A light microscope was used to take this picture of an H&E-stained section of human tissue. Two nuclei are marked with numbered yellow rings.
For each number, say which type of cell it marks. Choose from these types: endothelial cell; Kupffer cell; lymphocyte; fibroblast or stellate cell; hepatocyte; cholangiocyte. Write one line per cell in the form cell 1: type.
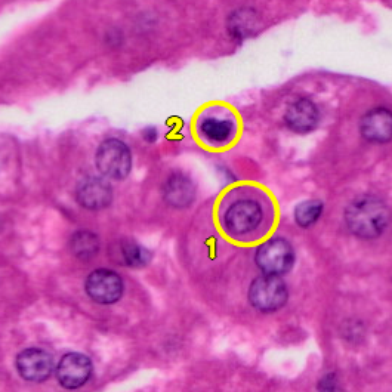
cell 1: hepatocyte
cell 2: lymphocyte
